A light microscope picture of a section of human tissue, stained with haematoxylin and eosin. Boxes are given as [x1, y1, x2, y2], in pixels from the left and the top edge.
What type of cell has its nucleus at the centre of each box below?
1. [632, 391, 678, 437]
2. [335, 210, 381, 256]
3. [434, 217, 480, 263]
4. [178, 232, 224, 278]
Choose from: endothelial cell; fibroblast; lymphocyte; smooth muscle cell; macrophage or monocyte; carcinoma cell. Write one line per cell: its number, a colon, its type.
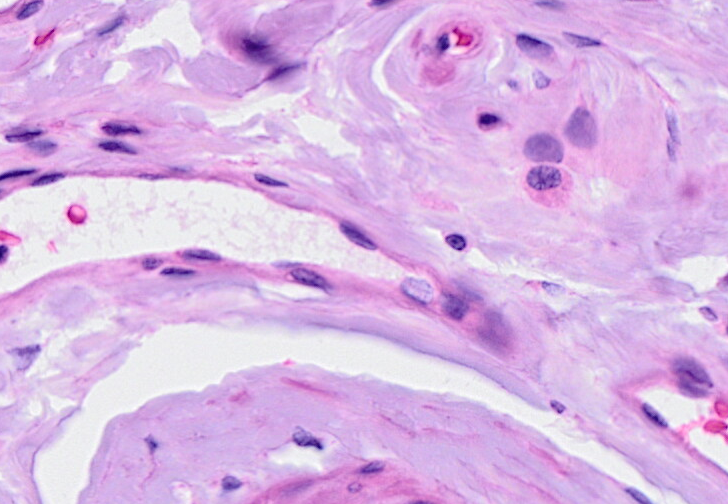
1: endothelial cell
2: endothelial cell
3: lymphocyte
4: endothelial cell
